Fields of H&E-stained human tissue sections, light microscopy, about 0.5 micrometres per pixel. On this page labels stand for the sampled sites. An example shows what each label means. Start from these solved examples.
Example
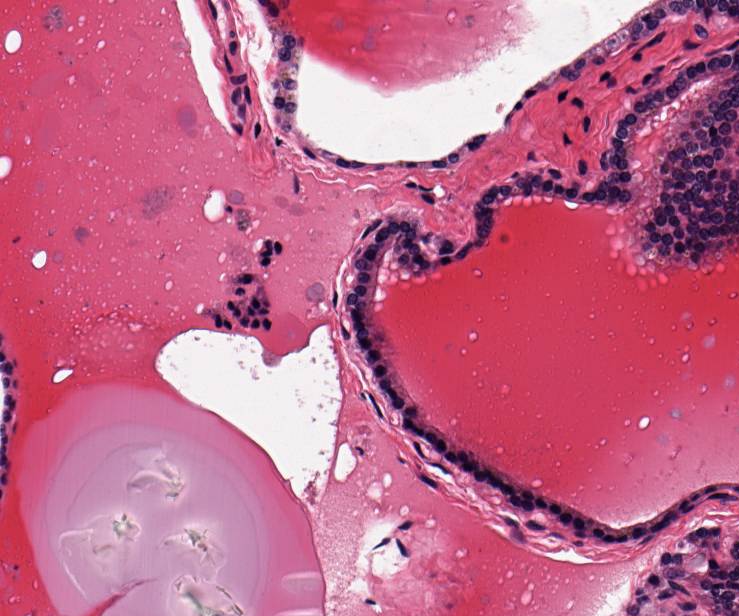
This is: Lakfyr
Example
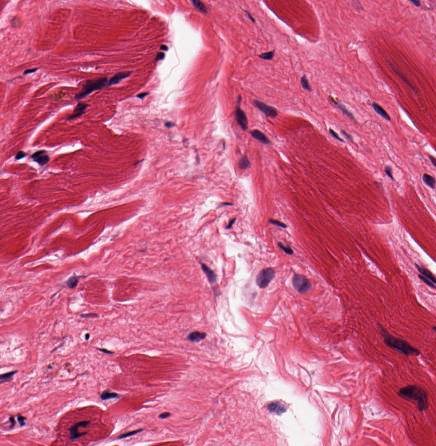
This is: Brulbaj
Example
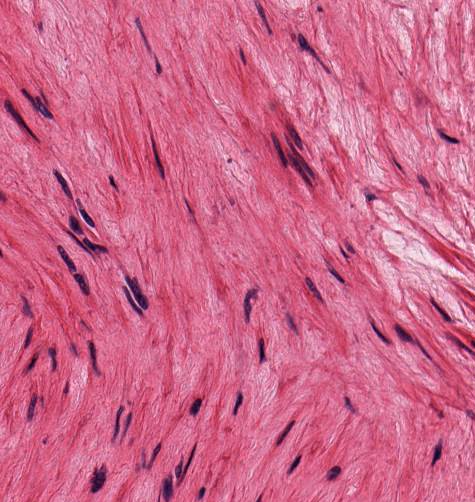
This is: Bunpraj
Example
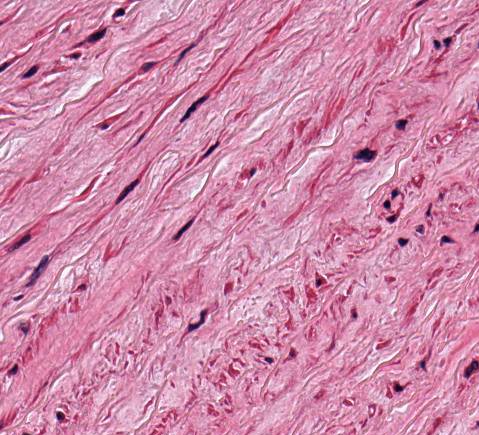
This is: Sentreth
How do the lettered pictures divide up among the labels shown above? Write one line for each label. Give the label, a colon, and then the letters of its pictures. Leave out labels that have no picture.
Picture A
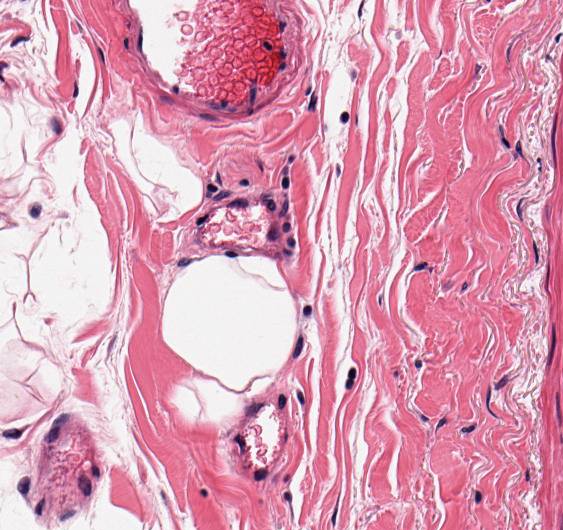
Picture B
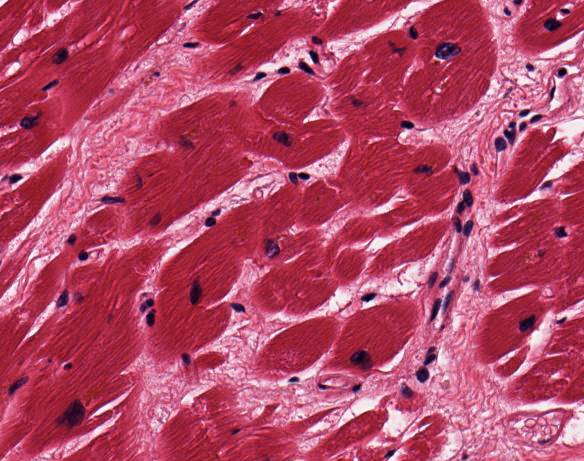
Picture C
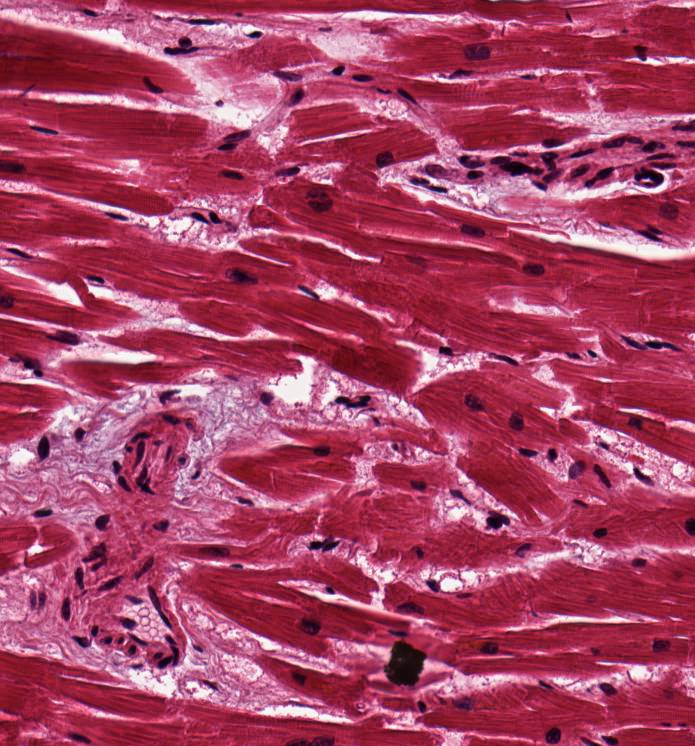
Brulbaj: B, C
Bunpraj: A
